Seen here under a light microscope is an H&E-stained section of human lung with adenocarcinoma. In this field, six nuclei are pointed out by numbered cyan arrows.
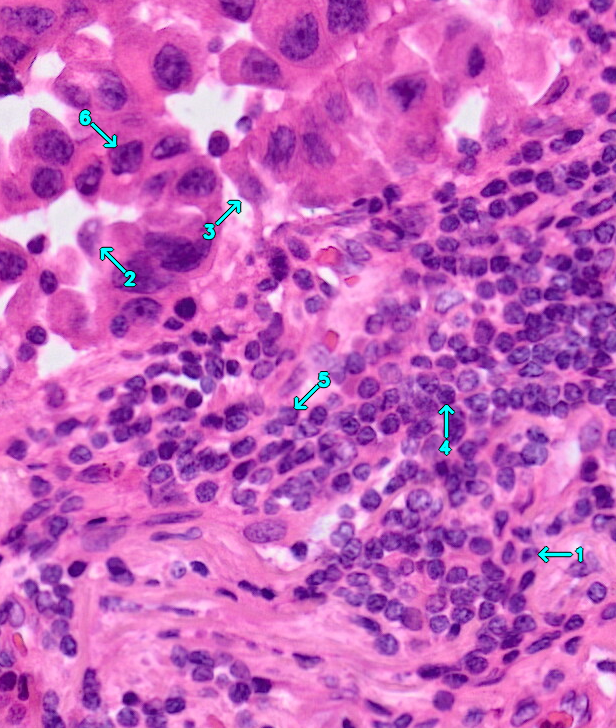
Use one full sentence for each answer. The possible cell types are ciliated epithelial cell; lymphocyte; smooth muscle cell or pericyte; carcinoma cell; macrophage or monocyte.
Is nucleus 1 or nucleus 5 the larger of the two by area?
At about 2 times the area of nucleus 1, nucleus 5 is the larger of the two.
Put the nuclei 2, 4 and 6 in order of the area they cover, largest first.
By area, largest first, they run 6, 2, 4.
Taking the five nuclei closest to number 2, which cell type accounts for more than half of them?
Around number 2, most of the five nearest nuclei are those of carcinoma cells.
